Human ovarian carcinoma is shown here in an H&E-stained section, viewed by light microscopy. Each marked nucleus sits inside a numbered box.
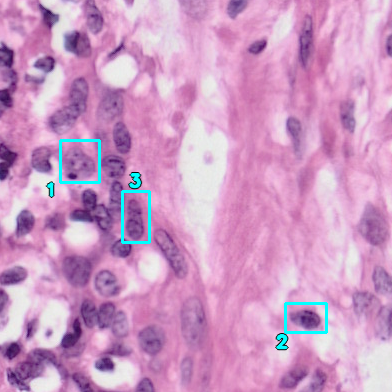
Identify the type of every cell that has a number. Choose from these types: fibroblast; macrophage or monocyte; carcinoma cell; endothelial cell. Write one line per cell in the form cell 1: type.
cell 1: carcinoma cell
cell 2: macrophage or monocyte
cell 3: carcinoma cell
